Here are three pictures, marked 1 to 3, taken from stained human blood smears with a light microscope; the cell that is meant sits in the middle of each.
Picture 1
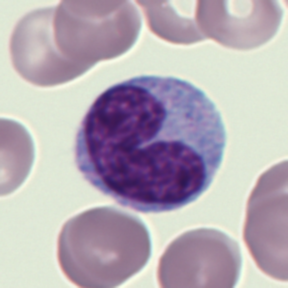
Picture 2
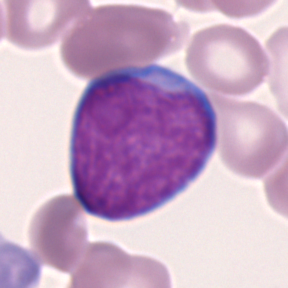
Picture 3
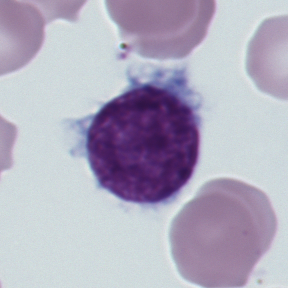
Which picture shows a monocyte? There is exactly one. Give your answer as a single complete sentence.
The monocyte is the one in picture 1.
